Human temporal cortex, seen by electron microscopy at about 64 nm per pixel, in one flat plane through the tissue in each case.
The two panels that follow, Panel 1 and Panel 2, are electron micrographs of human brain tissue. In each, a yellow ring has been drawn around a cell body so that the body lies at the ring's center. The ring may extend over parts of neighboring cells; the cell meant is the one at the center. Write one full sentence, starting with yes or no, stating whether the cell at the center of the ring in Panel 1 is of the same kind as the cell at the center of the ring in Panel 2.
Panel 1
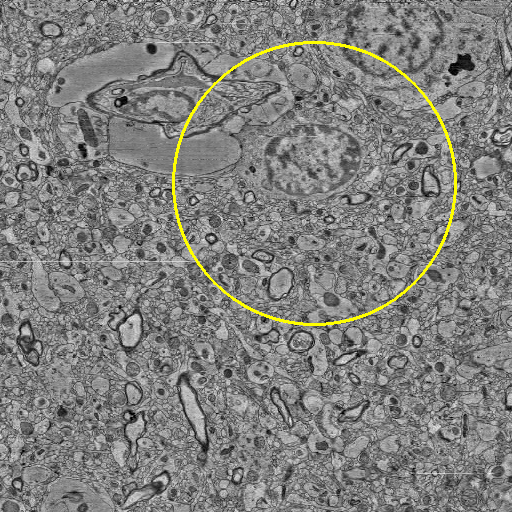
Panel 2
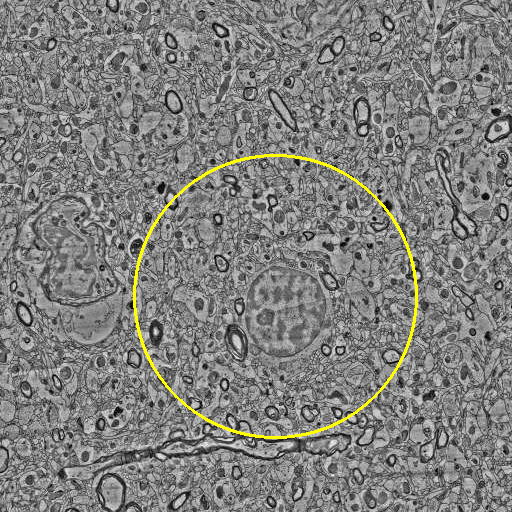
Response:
Yes, the cells in both panels are of the same kind.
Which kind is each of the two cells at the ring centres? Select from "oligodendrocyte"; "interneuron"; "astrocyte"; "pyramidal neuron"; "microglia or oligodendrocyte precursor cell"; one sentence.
Both the first and the second picture show an oligodendrocyte in the ring.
